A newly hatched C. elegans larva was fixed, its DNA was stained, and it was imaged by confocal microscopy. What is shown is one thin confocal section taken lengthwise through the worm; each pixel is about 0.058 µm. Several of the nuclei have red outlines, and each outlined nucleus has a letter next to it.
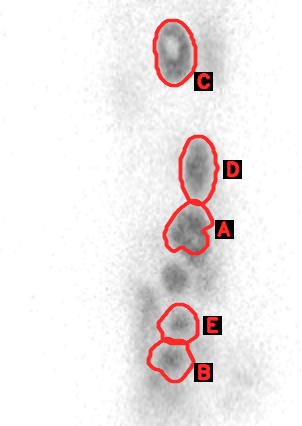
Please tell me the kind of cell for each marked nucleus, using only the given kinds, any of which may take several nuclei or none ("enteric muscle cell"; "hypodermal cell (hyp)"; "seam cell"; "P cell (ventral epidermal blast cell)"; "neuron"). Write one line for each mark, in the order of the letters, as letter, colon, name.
A: P cell (ventral epidermal blast cell)
B: neuron
C: seam cell
D: enteric muscle cell
E: neuron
